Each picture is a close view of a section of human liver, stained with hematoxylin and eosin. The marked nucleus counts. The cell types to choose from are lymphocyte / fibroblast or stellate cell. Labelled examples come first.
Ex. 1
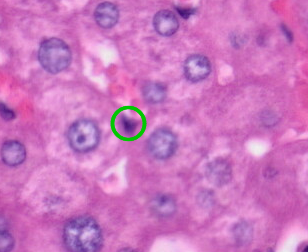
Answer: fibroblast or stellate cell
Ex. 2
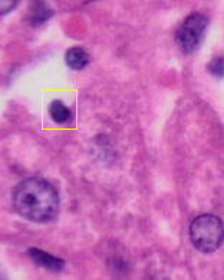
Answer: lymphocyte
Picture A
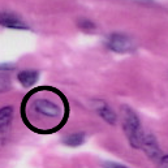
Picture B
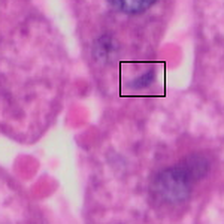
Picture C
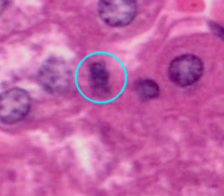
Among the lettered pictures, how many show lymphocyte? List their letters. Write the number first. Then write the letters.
0, none of them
